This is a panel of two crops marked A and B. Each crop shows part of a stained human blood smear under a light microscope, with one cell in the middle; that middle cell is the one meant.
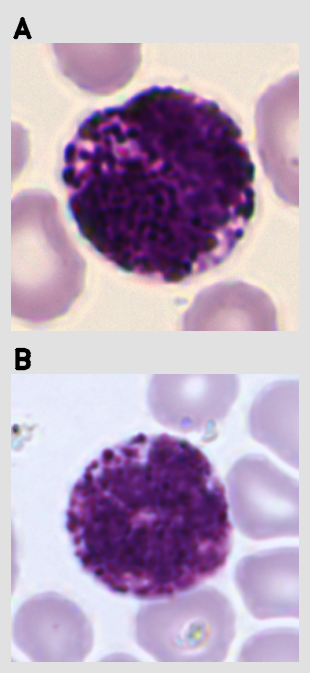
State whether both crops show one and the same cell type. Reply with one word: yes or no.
yes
